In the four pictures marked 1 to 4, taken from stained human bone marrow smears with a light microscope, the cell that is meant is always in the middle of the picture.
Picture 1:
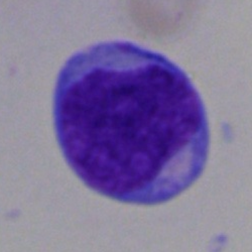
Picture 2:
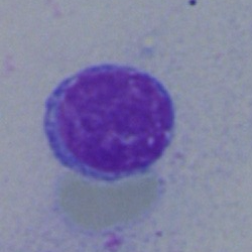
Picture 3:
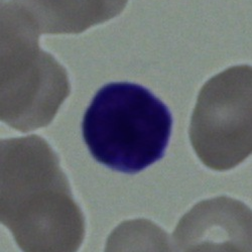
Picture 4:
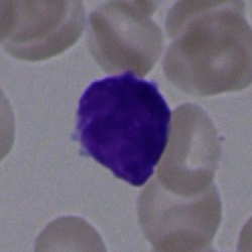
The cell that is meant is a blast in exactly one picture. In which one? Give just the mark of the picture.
1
